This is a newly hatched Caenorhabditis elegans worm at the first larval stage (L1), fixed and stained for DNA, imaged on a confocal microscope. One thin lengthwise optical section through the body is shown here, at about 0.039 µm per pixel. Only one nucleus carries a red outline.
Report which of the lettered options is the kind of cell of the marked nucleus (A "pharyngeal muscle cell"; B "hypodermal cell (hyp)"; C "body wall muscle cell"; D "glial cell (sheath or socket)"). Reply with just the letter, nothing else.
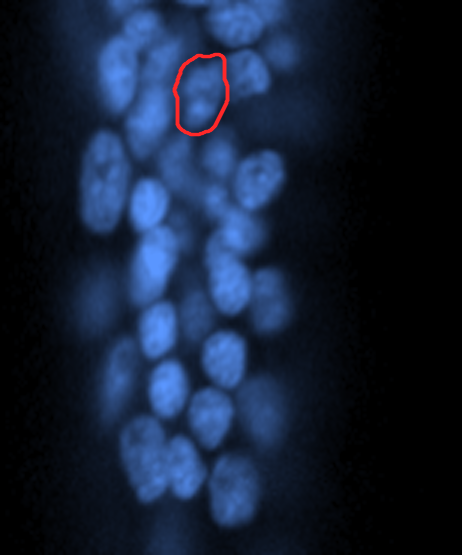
A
